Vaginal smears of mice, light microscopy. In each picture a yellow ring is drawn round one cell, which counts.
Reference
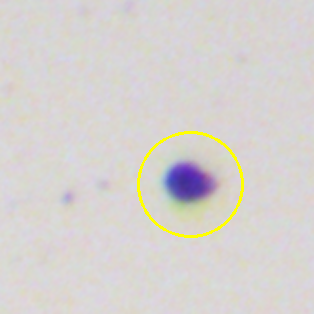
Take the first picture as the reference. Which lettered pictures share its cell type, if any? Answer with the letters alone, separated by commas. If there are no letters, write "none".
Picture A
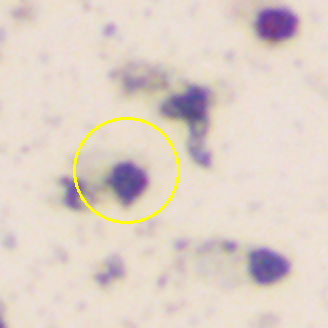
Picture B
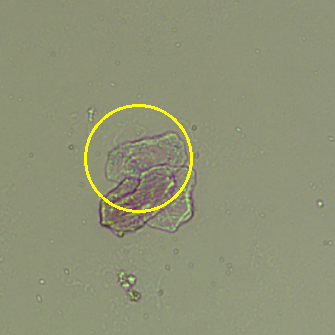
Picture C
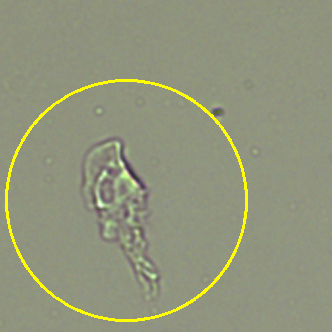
A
